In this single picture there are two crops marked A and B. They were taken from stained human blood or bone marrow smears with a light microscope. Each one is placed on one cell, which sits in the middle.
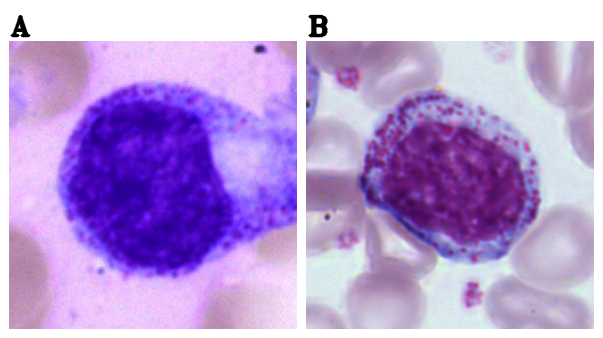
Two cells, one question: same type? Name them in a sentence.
Yes, both crops are centred on promyelocytes.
